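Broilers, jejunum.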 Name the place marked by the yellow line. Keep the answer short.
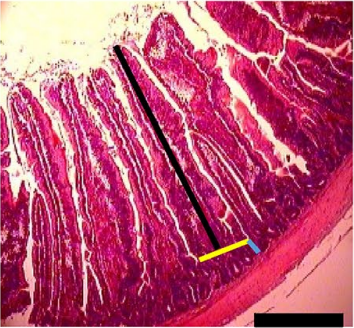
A: villus-crypt junction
